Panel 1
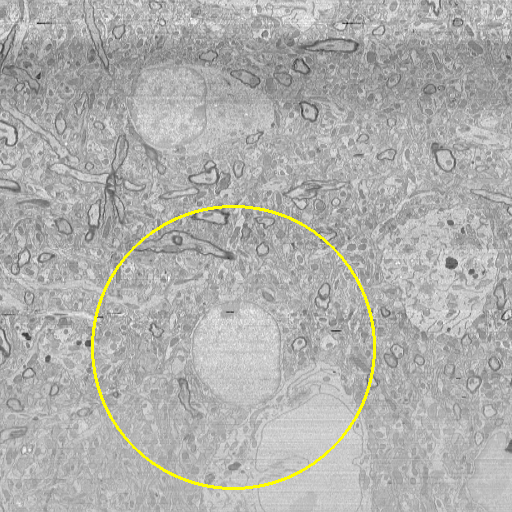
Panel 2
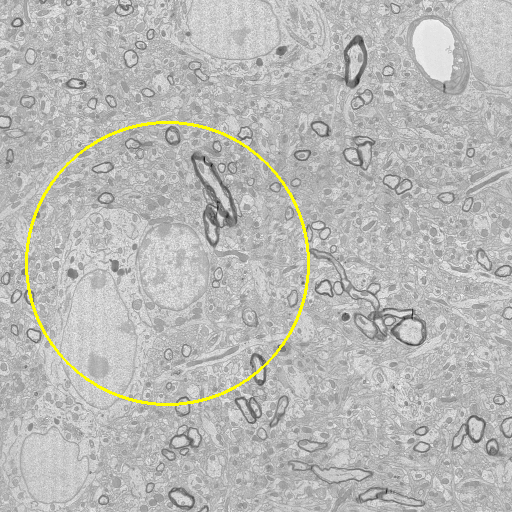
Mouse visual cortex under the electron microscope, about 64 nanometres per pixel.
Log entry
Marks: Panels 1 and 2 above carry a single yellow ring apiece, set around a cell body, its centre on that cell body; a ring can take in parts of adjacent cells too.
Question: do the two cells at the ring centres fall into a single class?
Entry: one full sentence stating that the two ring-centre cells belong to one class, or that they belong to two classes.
The two ring-centre cells in Panels 1 and 2 belong to two classes.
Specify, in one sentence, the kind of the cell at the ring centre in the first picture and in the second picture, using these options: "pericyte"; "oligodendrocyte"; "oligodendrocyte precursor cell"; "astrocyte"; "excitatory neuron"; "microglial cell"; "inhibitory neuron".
So the first is an astrocyte, the second an oligodendrocyte.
